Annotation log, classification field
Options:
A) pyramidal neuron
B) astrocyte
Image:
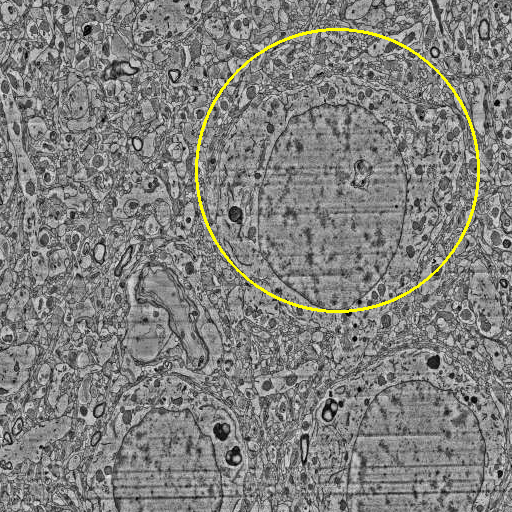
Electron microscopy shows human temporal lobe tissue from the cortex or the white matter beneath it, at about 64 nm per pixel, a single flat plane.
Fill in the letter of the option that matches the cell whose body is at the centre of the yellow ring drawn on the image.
A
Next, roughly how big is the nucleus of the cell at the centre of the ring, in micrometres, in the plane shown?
In this plane, the nucleus is roughly 13 by 10 micrometres.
